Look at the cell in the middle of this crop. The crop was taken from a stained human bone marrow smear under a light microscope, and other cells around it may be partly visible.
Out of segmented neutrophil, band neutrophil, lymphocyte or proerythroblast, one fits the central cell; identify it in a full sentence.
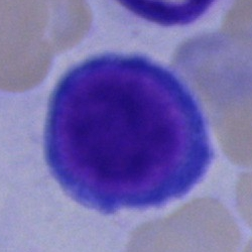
To answer, the cell in the center of the crop is a proerythroblast.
